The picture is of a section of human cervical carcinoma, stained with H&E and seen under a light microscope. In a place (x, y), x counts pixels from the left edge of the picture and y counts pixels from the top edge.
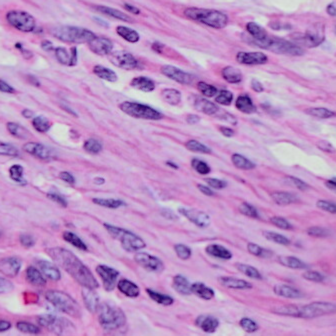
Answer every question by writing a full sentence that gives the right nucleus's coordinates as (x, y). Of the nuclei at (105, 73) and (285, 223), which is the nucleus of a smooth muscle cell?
The nucleus that sits at (285, 223) is the nucleus of a smooth muscle cell.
